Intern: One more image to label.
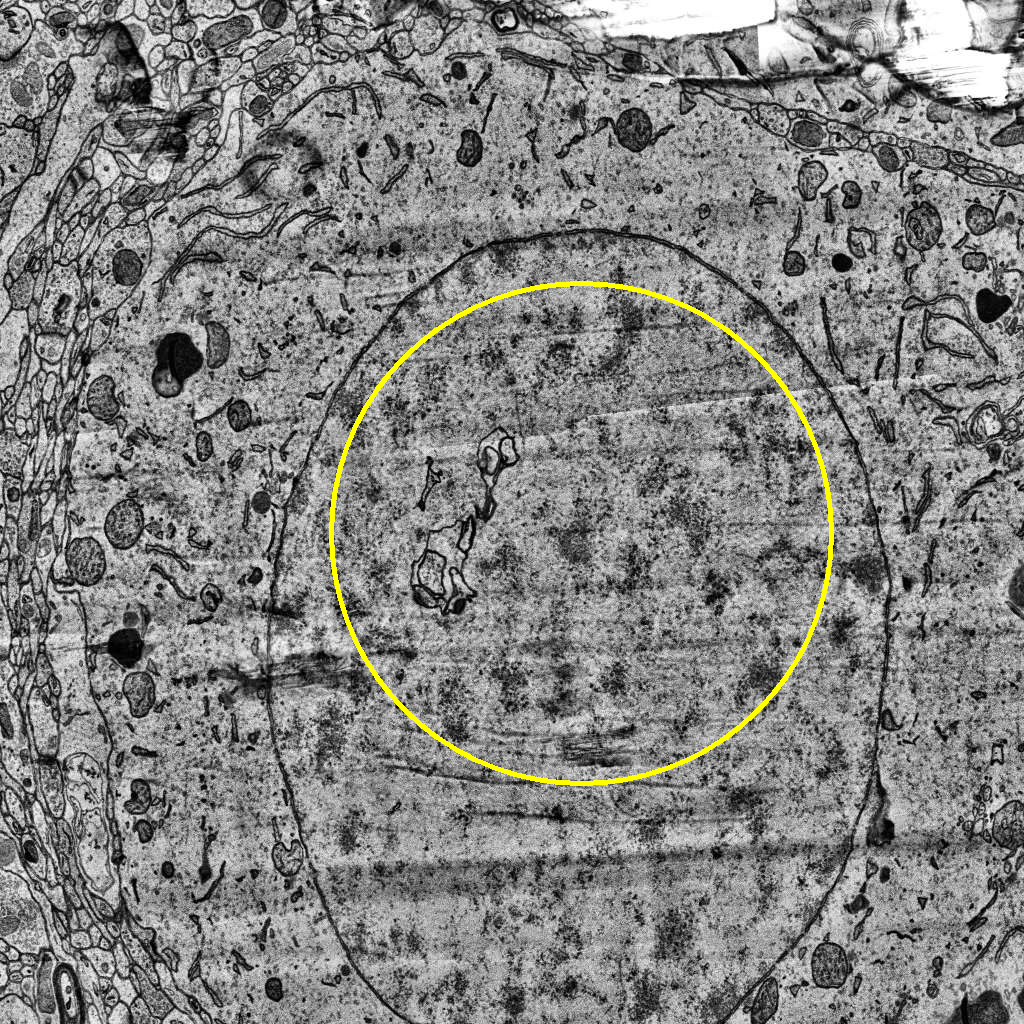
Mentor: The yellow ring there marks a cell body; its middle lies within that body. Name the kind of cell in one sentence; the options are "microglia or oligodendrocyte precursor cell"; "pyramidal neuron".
The ring marks the cell body of a pyramidal neuron.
